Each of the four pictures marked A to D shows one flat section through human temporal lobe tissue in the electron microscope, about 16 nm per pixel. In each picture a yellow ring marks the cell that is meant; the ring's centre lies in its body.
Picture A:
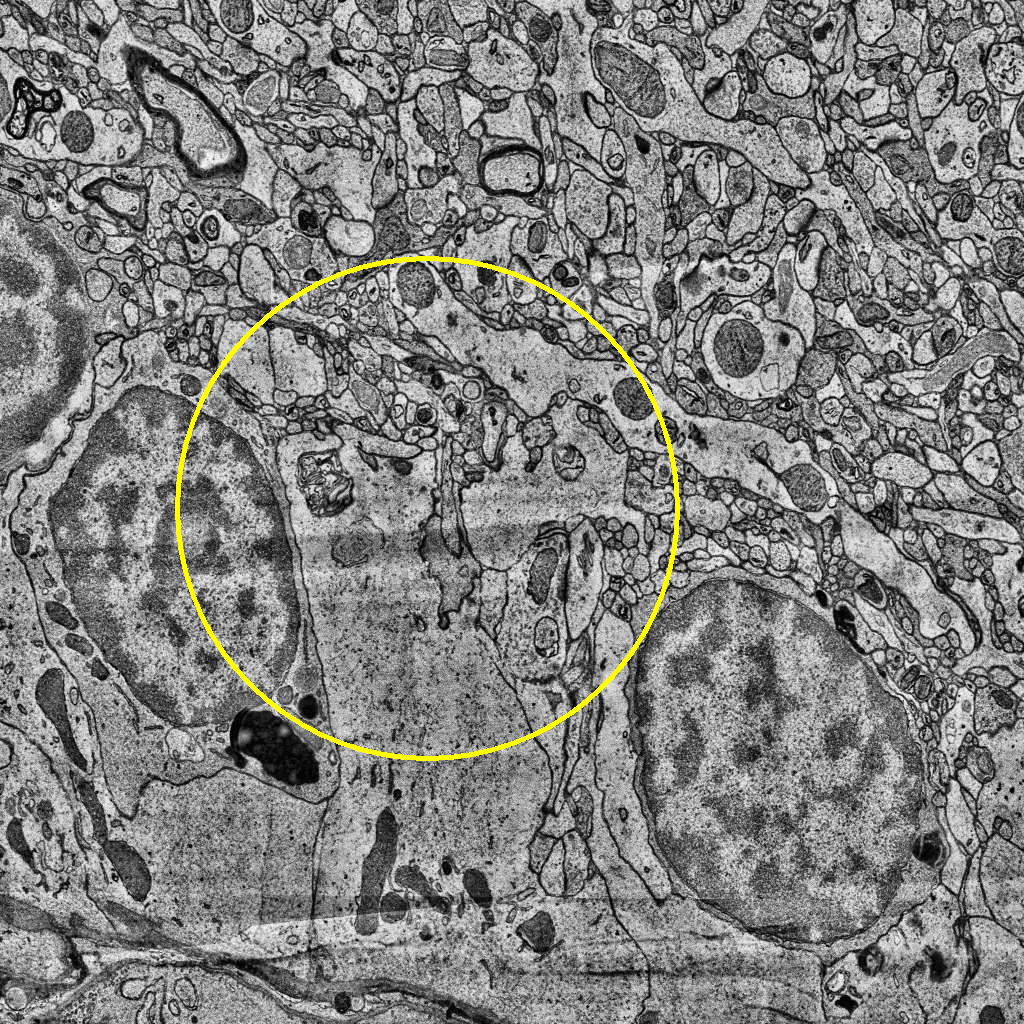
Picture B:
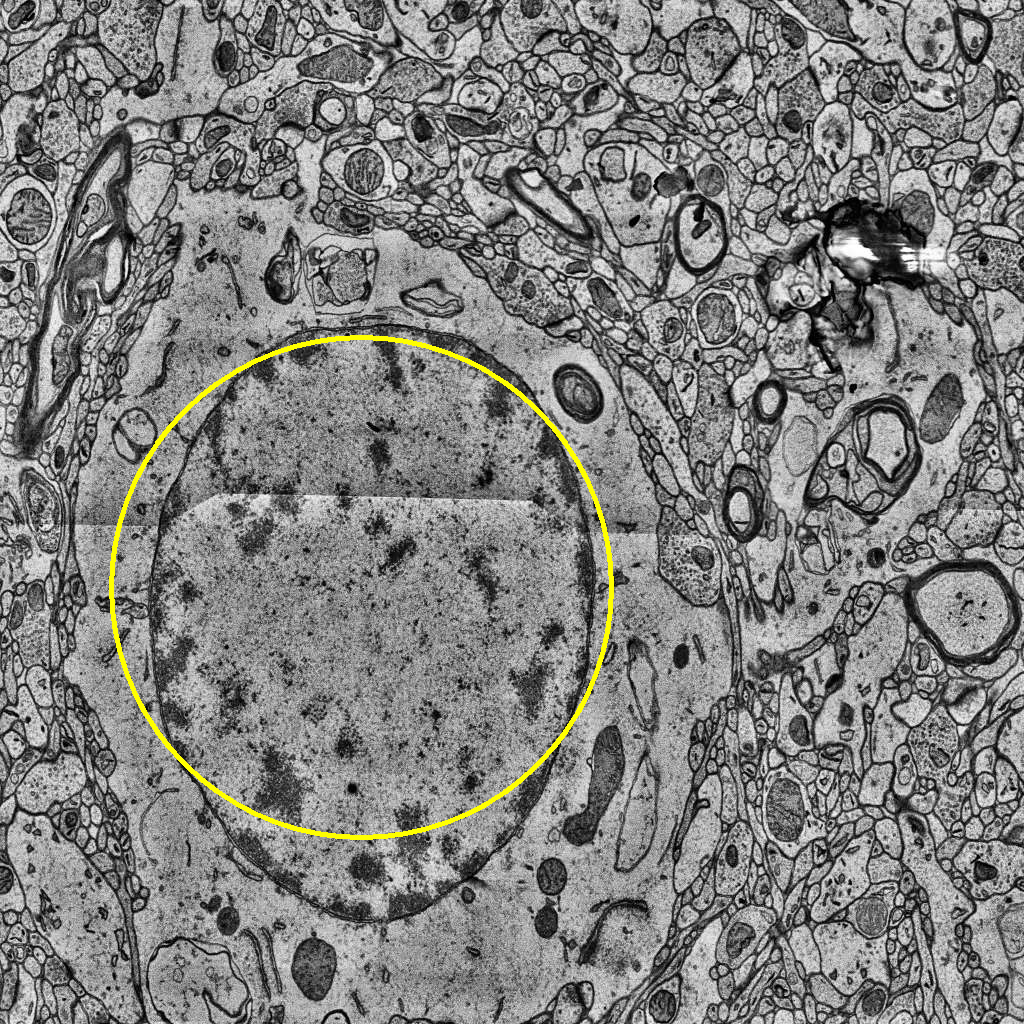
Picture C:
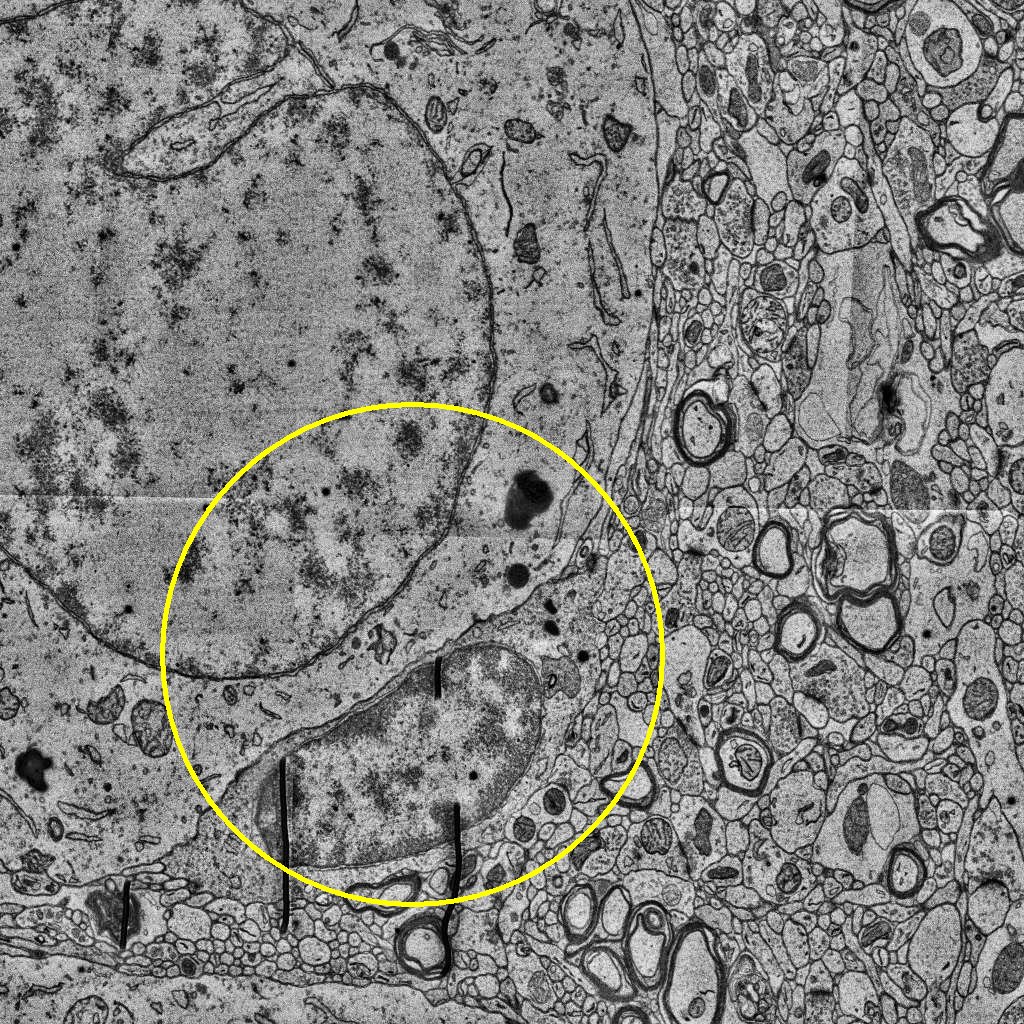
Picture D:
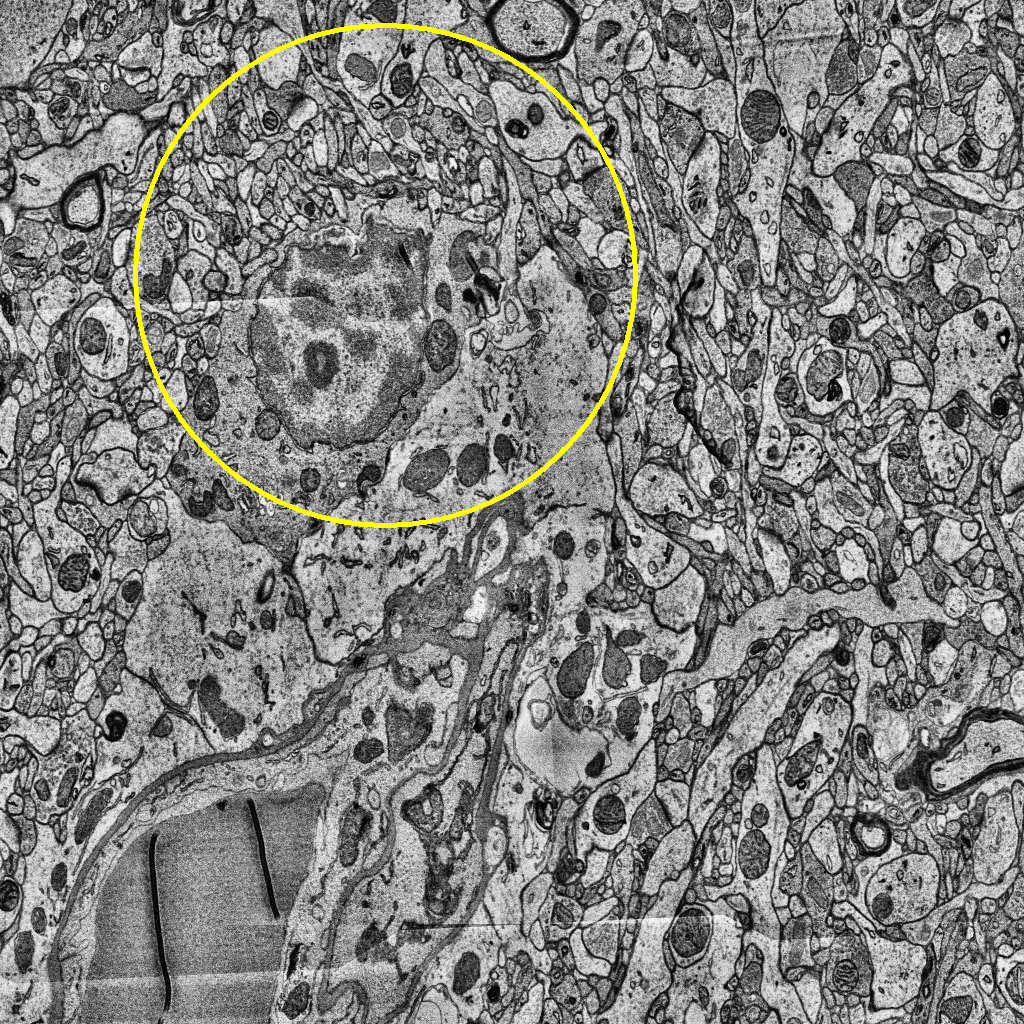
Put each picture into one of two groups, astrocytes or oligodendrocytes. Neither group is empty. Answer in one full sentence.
Picture B shows an astrocyte, while pictures A, C and D show oligodendrocytes.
